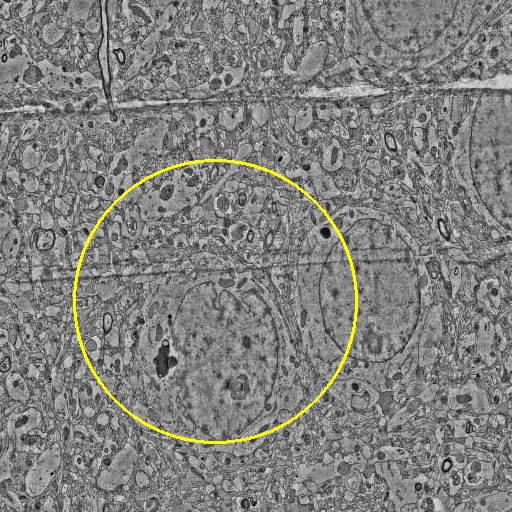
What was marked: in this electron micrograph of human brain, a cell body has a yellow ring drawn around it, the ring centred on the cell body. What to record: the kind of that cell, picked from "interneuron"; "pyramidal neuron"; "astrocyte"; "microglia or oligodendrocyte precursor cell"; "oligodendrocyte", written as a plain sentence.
The centred cell is an interneuron.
